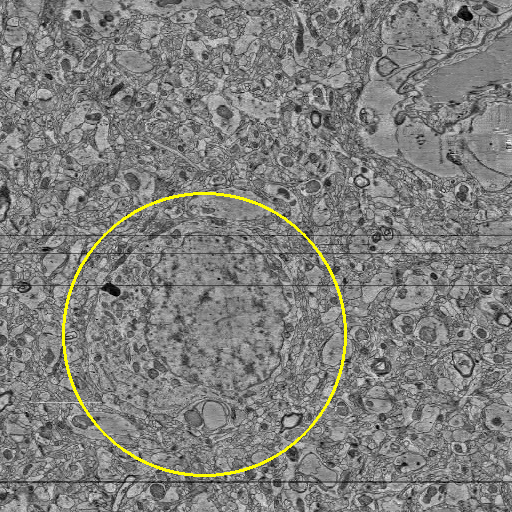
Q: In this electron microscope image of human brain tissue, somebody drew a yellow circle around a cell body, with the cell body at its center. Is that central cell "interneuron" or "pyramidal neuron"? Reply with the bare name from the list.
interneuron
